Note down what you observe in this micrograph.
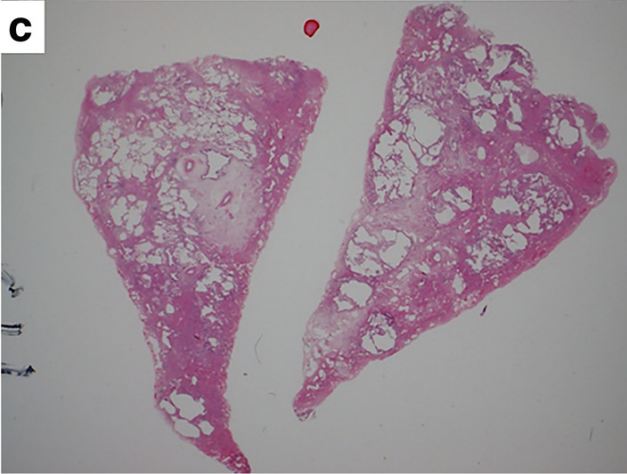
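Two wedge-shaped pieces of lung seen at low power show fibrosis beneath the pleura and microscopic honeycombing. The tissue is pink overall, with the fine lacework of normal alveoli largely replaced by dense pink fibrous tissue. The change is patchy, with some areas more solid and others more cystic. Small round vessels or airways appear within the fibrous tissue.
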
